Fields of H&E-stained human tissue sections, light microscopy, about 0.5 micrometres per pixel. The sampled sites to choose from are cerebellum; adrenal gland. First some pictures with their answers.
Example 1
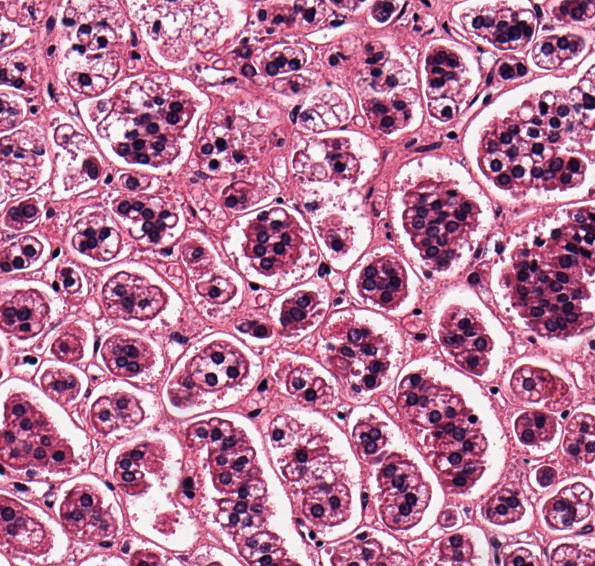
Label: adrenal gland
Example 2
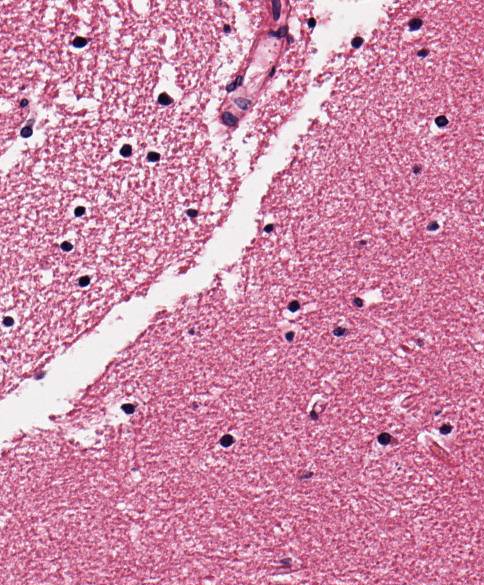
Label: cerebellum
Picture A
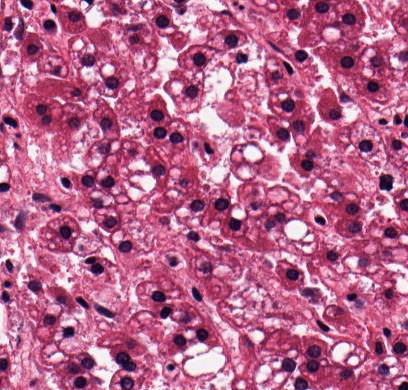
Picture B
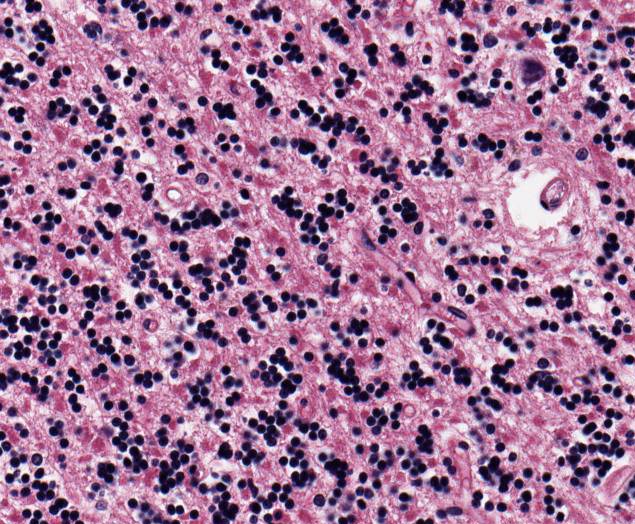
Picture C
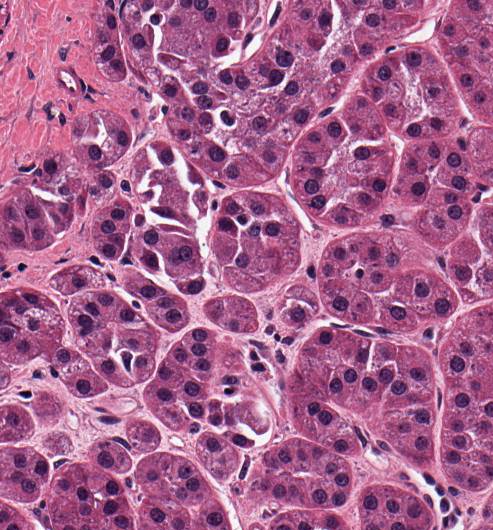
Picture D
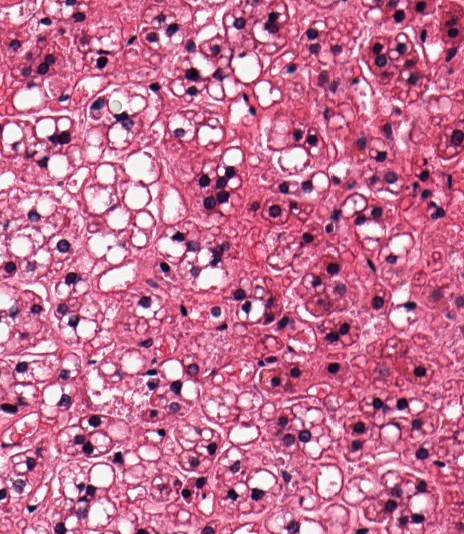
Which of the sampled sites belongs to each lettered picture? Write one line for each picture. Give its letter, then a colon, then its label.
A: adrenal gland
B: cerebellum
C: adrenal gland
D: adrenal gland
